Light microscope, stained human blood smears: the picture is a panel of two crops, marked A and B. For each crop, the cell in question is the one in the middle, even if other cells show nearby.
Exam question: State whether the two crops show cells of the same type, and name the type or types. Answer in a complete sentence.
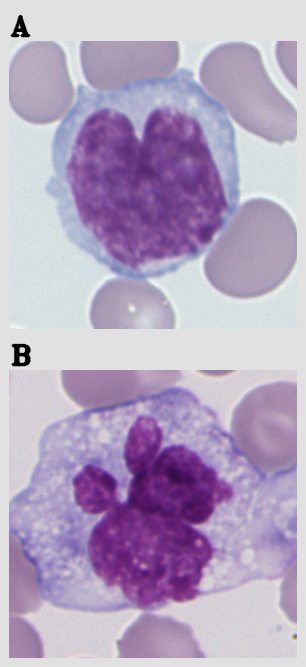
No, the cell that crop A shows is a blast, and the one crop B shows is a monocyte.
